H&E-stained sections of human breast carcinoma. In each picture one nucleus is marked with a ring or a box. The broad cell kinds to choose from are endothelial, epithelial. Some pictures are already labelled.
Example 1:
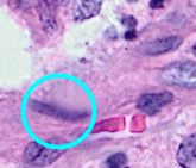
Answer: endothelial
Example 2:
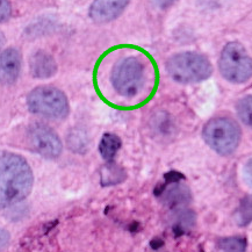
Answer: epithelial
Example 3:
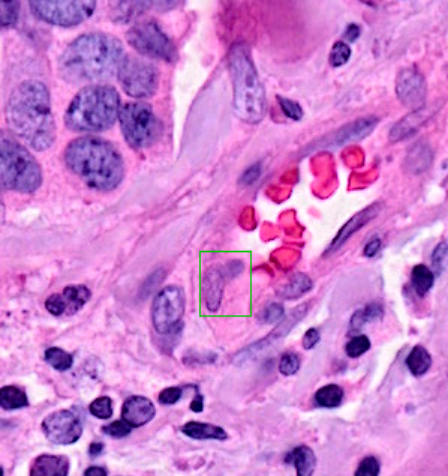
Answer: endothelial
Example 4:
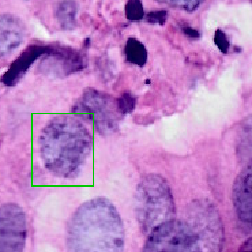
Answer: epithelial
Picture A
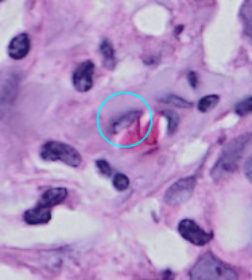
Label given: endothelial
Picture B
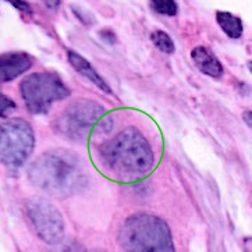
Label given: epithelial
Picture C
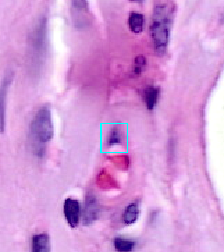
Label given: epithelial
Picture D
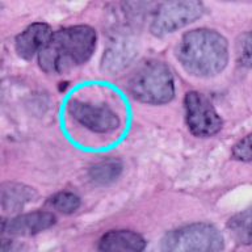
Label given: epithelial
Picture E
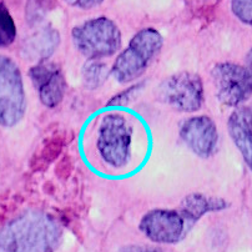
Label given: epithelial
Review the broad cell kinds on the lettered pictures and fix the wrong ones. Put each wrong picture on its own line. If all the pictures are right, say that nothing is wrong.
C: not epithelial but endothelial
